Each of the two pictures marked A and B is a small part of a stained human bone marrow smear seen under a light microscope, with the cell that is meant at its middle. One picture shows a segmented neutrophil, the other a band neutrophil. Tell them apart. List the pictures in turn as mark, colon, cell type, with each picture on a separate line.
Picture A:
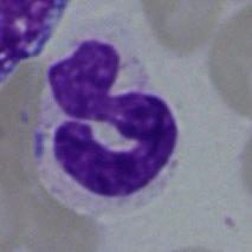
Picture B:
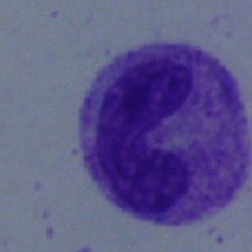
A: segmented neutrophil
B: band neutrophil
